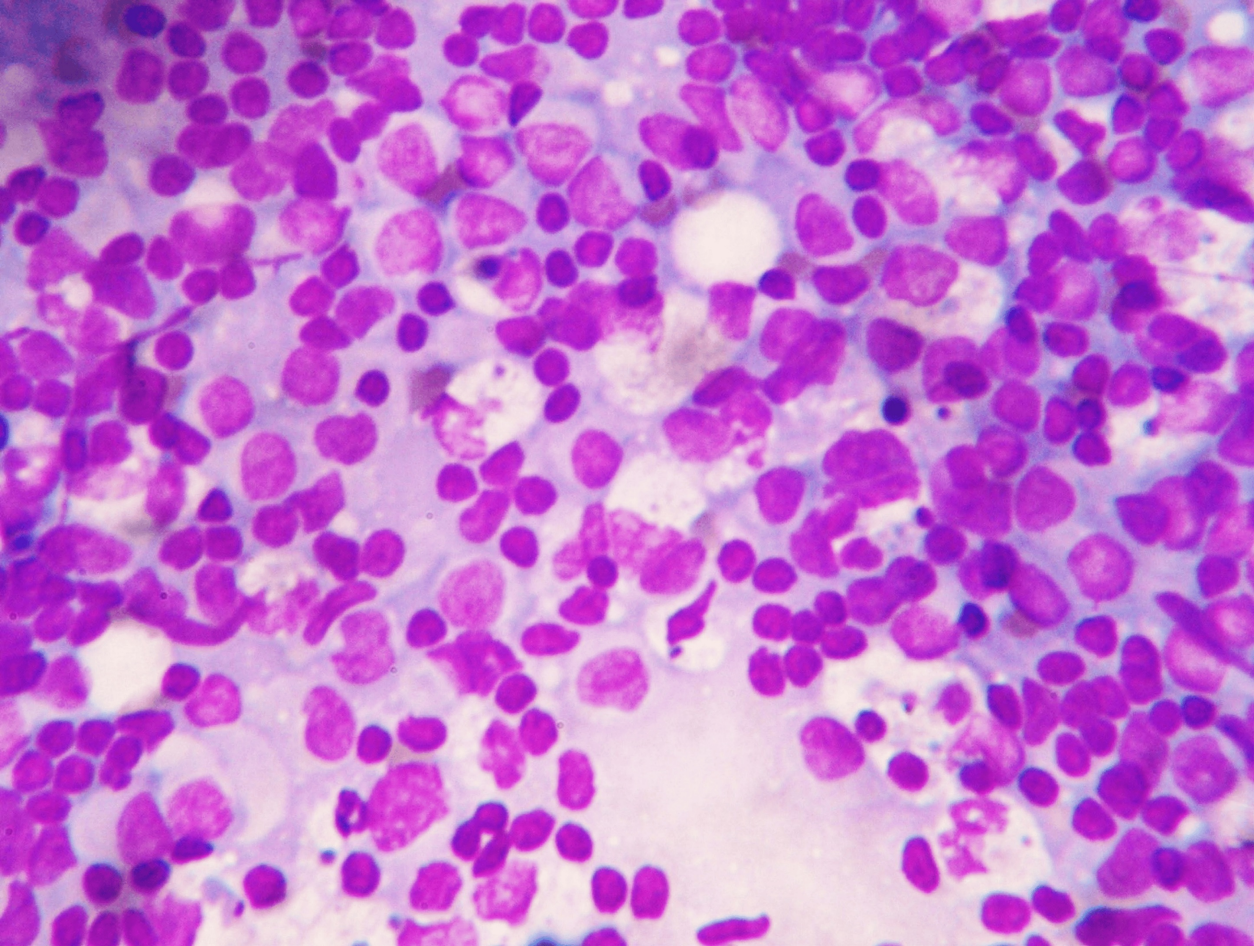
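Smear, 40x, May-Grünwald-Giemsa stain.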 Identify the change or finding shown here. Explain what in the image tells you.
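High cellularity. Cells crowd almost the whole field.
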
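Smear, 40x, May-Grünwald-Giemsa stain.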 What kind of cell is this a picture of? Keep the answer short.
lymphoid cells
